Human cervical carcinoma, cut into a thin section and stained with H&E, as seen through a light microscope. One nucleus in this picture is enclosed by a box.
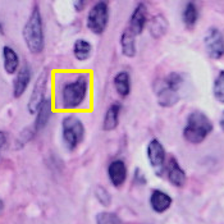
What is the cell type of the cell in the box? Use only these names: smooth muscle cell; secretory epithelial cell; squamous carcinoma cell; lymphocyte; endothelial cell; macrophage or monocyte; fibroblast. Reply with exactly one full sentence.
Placed in its cell category, the cell in the box is a lymphocyte.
